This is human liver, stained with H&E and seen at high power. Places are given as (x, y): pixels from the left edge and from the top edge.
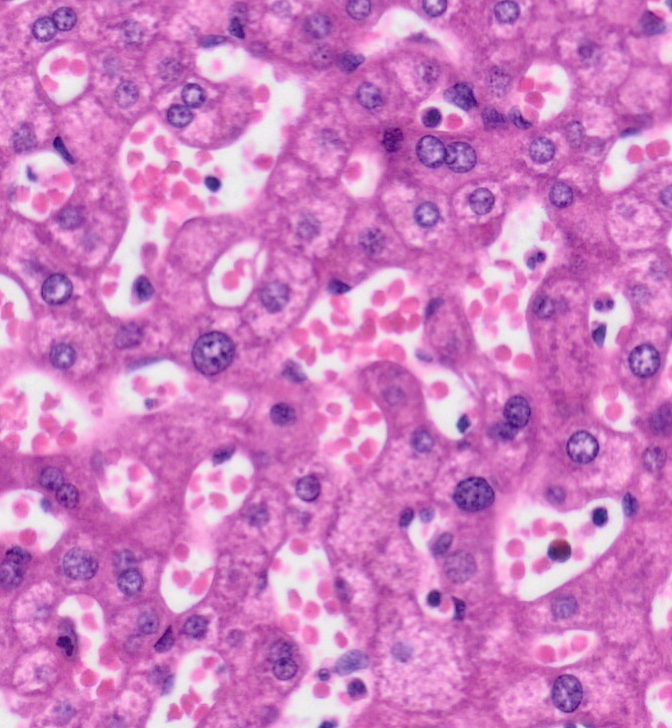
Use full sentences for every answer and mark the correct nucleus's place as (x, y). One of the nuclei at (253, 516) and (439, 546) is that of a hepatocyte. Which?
Of these two nuclei, only the one at (253, 516) belongs to a hepatocyte.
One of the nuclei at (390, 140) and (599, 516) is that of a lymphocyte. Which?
So, of the two, the nucleus at (599, 516) is the one belonging to a lymphocyte.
